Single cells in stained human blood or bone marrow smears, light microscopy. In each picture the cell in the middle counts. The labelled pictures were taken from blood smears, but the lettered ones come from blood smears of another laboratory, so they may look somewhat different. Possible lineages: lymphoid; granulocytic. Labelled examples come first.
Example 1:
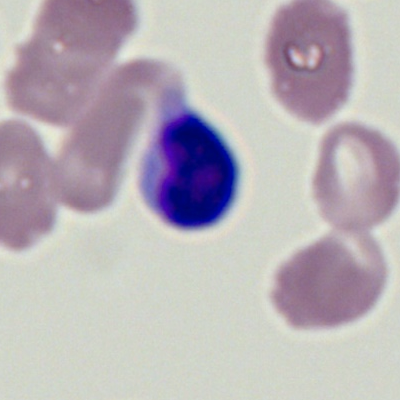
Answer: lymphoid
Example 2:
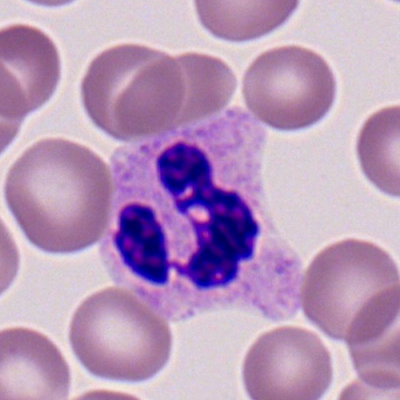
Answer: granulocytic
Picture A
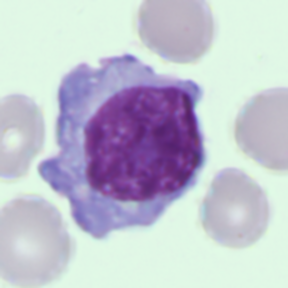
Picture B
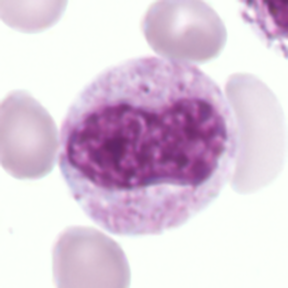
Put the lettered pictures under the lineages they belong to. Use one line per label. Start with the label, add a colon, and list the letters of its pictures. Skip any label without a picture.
lymphoid: A
granulocytic: B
